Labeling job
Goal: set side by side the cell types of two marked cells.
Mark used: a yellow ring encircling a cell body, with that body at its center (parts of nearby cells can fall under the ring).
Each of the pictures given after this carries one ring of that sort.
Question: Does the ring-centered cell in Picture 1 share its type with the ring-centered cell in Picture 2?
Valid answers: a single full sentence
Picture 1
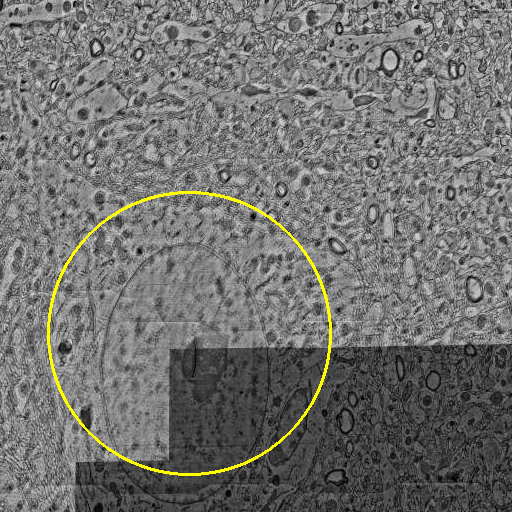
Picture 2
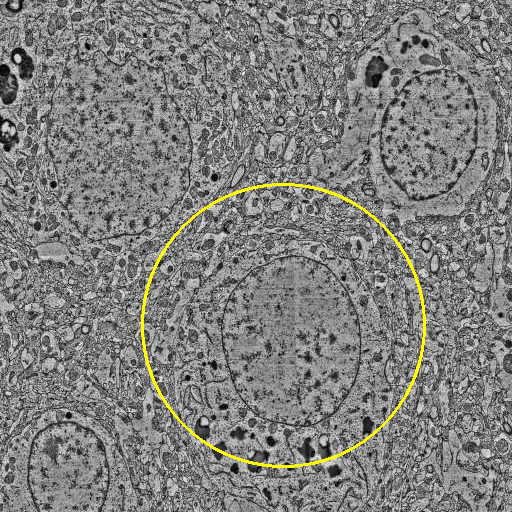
Yes, in Pictures 1 and 2 the cells at the ring centers share one type.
